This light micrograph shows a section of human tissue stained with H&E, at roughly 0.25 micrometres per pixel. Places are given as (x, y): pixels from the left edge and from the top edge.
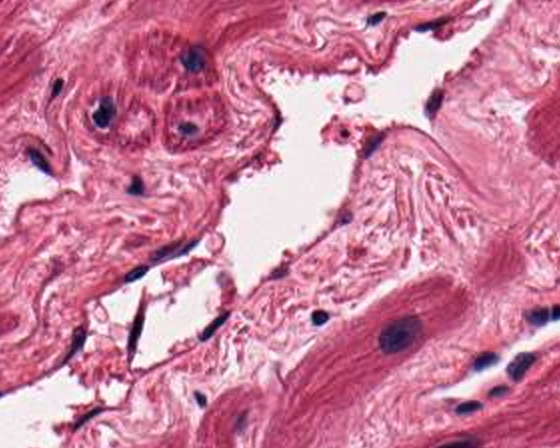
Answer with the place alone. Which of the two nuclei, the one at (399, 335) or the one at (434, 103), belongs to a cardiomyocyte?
(399, 335)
